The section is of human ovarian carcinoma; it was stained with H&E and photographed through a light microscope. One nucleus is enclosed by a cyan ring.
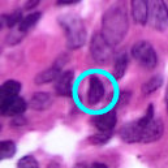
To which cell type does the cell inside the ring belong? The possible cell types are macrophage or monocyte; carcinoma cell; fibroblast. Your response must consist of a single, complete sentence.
It is as a carcinoma cell that the cell inside the ring is classified.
